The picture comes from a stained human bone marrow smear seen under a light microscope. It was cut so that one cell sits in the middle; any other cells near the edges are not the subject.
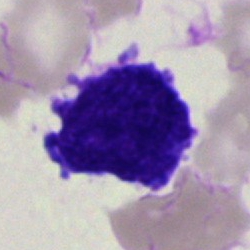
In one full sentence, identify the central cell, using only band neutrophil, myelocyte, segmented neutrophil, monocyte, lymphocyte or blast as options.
By type, the central cell of the crop is a blast.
